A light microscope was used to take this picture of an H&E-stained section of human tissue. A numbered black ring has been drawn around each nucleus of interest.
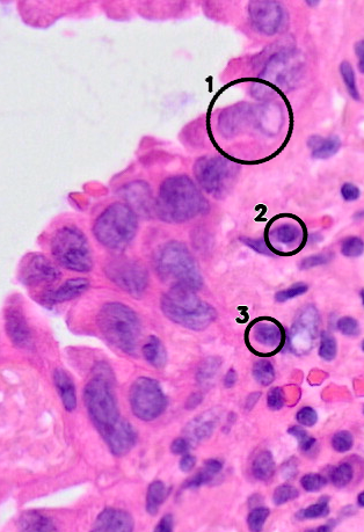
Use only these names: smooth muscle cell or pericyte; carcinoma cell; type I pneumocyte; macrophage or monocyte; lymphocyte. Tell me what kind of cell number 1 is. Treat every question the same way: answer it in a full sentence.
The label 1 in this section denotes a carcinoma cell.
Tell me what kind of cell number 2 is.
The cell marked with number 2 is a lymphocyte.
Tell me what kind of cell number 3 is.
In the tissue shown, cell 3 is a lymphocyte.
